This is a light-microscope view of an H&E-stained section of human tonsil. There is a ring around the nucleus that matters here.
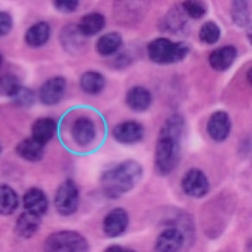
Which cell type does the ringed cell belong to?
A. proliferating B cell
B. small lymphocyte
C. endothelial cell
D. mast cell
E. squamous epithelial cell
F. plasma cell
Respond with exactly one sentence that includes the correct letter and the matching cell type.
On this slide, the ringed cell is a plasma cell, so option F is right.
